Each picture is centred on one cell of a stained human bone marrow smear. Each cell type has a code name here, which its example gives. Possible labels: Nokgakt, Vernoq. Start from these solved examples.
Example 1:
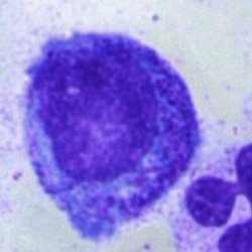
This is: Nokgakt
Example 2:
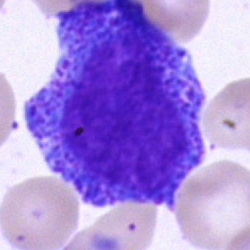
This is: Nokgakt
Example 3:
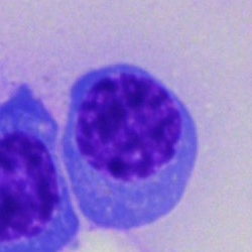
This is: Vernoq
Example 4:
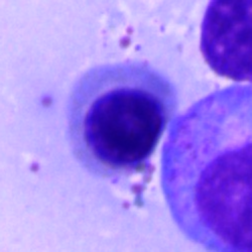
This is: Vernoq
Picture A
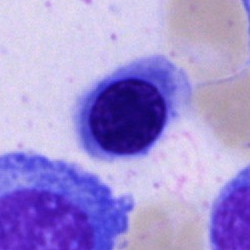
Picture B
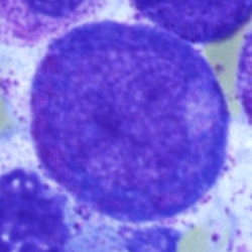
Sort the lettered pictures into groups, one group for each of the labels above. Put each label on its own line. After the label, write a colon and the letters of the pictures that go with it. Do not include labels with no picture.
Nokgakt: B
Vernoq: A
